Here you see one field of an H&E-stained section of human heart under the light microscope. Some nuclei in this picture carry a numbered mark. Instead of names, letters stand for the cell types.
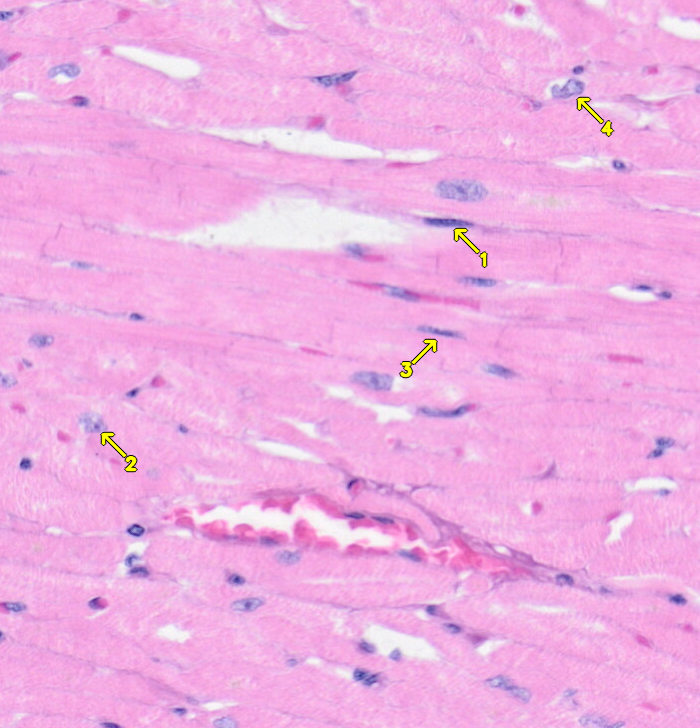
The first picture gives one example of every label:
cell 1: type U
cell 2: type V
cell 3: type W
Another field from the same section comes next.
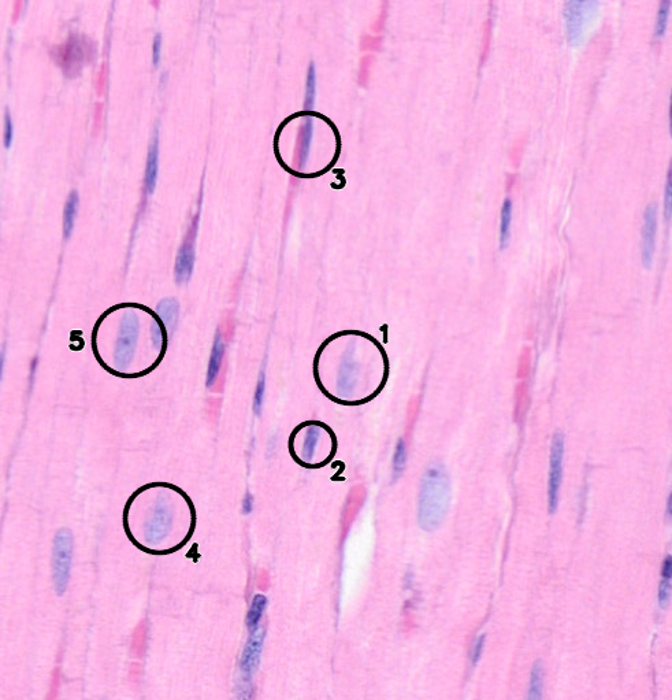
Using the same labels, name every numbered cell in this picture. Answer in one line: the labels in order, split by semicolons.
type V; type U; type U; type V; type V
